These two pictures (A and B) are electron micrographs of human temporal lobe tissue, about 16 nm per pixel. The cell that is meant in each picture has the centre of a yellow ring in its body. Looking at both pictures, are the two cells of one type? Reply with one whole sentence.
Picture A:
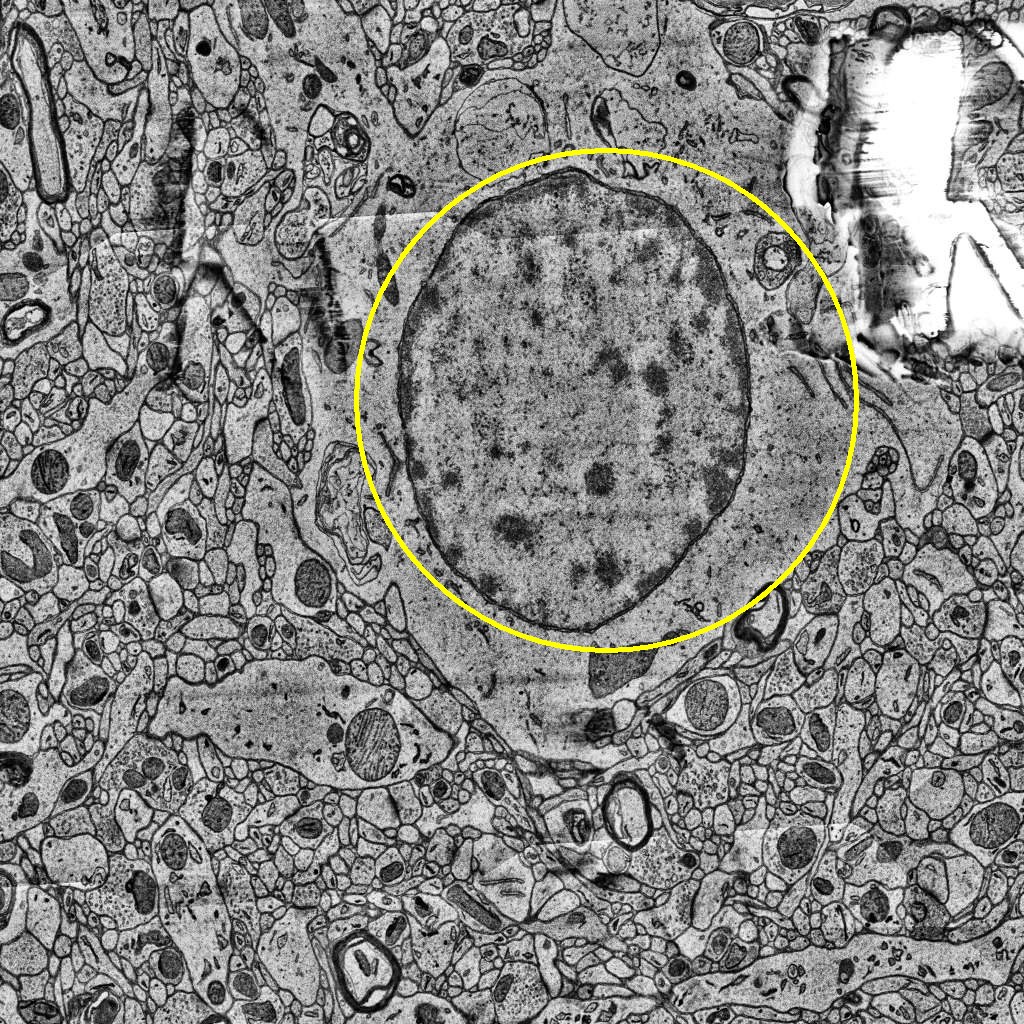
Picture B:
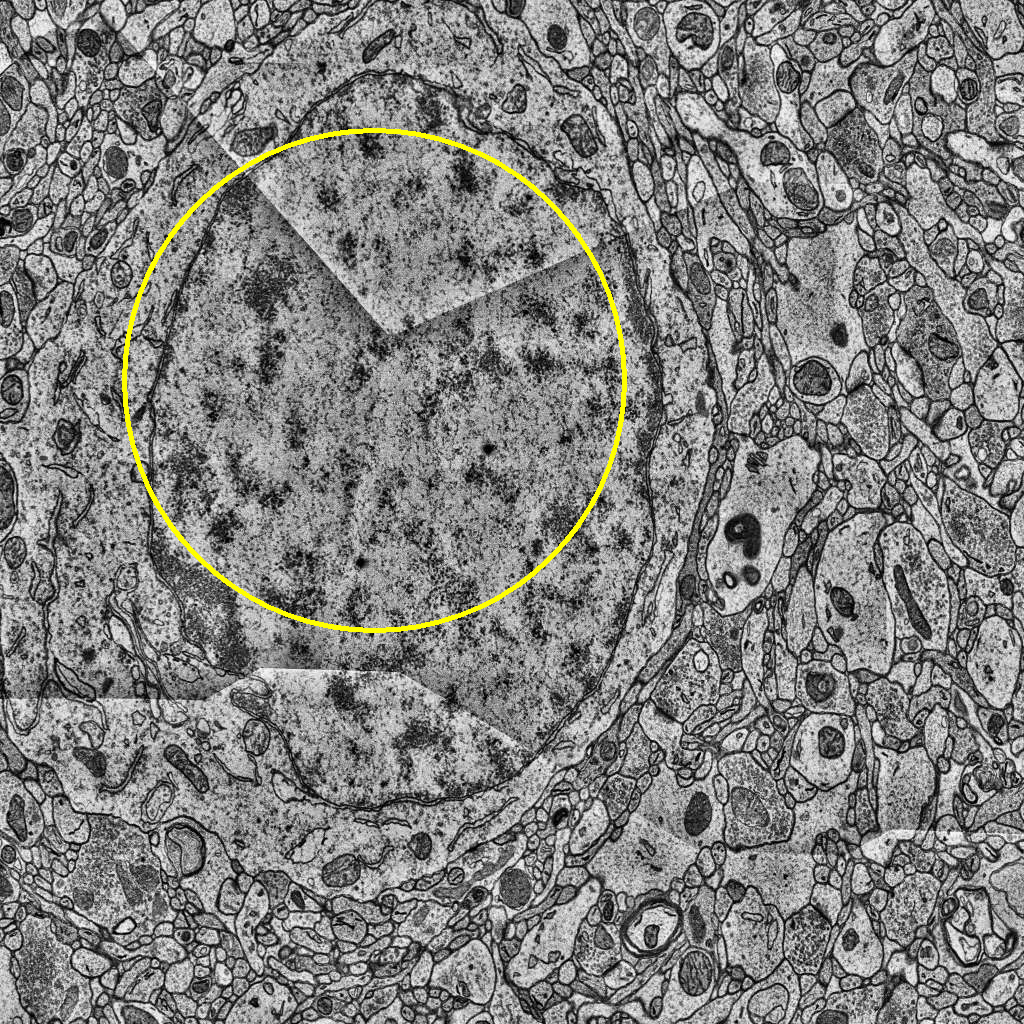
No, picture A shows an astrocyte and picture B shows an interneuron.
